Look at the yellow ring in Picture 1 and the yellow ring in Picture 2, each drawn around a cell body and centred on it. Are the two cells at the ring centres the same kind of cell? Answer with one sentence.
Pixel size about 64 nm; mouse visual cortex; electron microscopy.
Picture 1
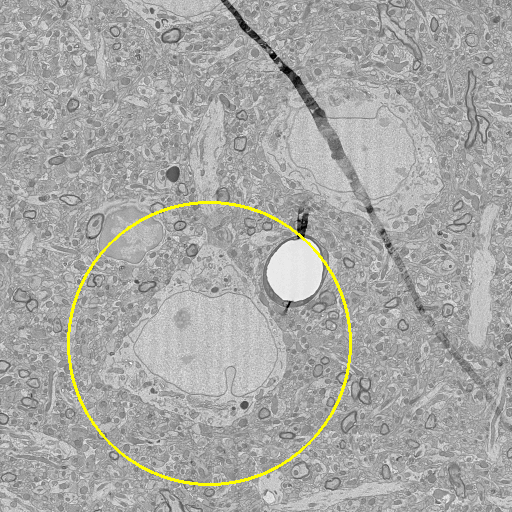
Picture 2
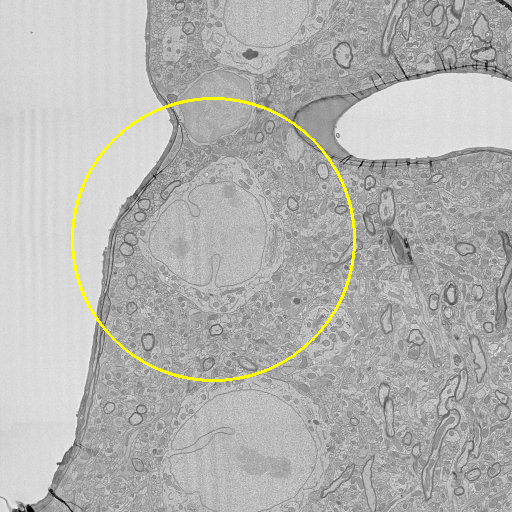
Yes, both are the same kind of cell.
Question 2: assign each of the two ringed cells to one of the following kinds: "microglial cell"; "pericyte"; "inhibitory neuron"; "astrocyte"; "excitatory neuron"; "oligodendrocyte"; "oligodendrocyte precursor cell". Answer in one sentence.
In each picture the ringed cell is an excitatory neuron.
